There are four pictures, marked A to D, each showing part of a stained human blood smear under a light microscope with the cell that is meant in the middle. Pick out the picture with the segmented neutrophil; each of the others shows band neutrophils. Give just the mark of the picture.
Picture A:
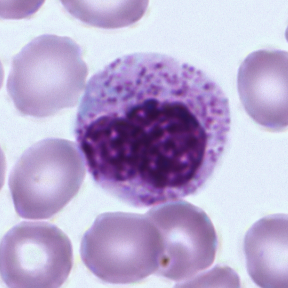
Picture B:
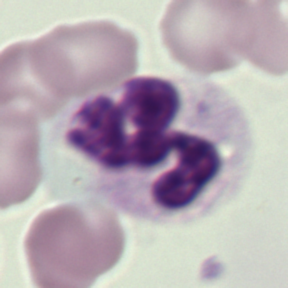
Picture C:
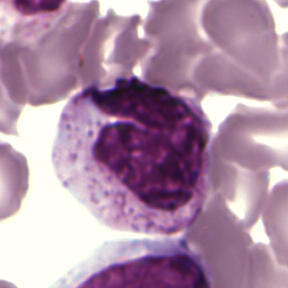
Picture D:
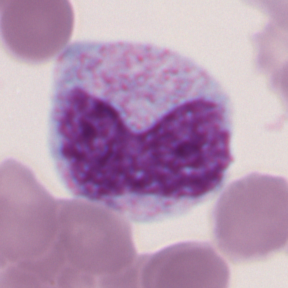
B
